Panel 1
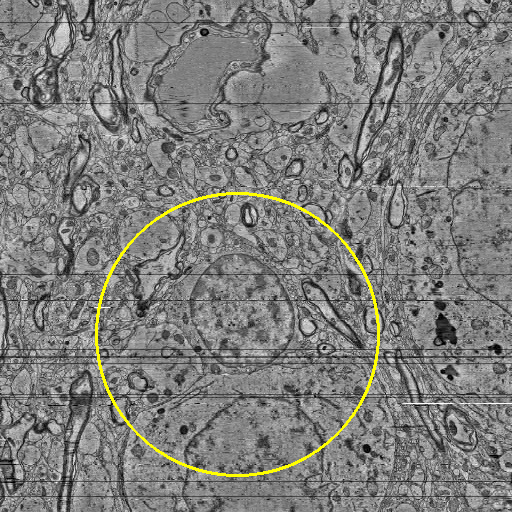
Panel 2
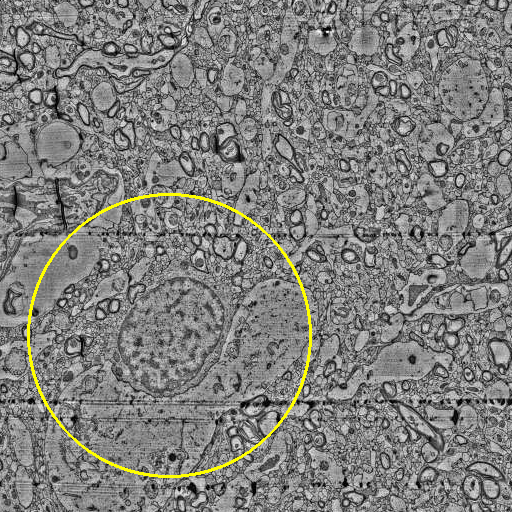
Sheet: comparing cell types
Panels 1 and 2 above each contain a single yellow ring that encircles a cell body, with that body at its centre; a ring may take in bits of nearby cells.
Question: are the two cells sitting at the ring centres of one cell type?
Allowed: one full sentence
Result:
Yes, the ring-centre cells in Panel 1 and Panel 2 are of one type.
